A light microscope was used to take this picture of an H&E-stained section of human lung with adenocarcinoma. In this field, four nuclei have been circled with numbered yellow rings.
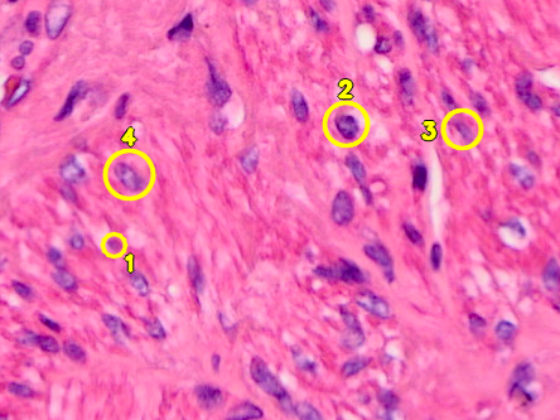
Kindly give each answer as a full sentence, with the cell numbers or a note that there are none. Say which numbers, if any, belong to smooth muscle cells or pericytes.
The cells numbered 1, 3 and 4 fall into the category of smooth muscle cells or pericytes.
